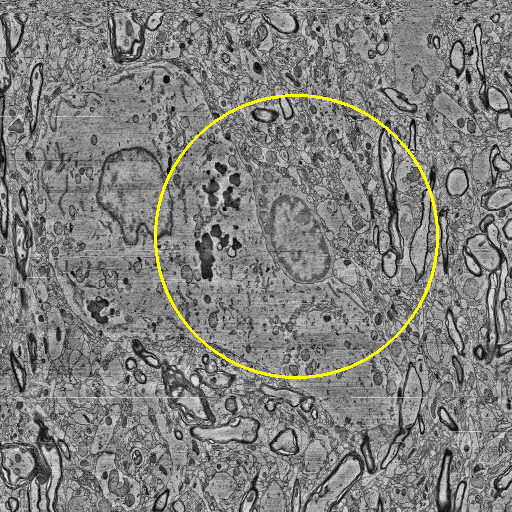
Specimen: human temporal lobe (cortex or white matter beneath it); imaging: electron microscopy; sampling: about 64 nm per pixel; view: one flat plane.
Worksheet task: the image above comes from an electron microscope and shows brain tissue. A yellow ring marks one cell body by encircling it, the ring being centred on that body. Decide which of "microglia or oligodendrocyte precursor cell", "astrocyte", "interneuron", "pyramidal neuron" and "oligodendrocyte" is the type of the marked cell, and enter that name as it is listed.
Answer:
oligodendrocyte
